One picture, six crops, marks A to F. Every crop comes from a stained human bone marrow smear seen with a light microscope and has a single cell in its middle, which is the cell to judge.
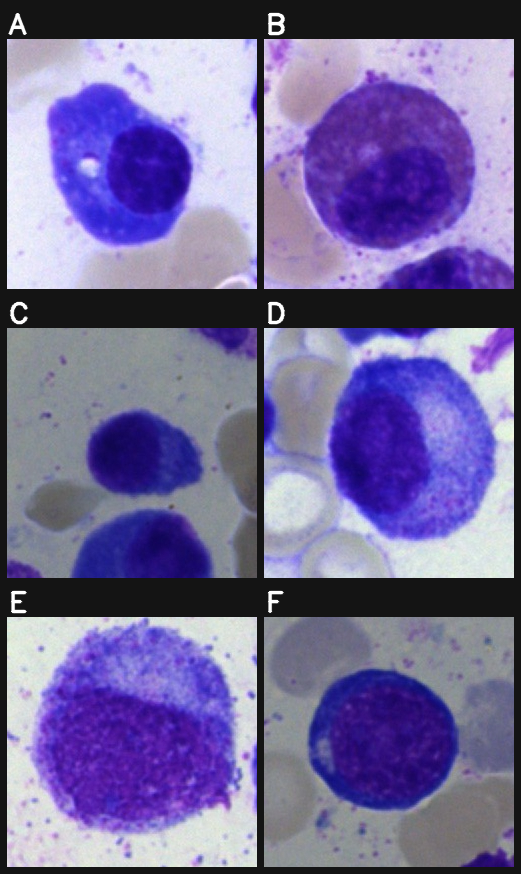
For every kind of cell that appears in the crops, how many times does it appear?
plasma cell: 2
promyelocyte: 2
eosinophil: 1
proerythroblast: 1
